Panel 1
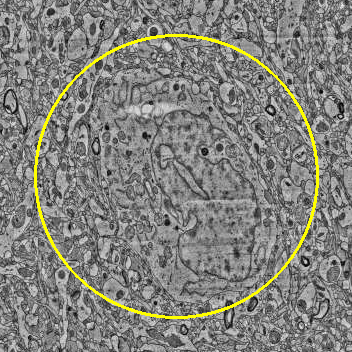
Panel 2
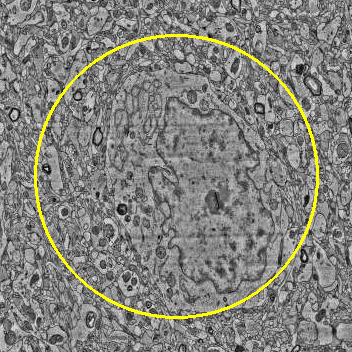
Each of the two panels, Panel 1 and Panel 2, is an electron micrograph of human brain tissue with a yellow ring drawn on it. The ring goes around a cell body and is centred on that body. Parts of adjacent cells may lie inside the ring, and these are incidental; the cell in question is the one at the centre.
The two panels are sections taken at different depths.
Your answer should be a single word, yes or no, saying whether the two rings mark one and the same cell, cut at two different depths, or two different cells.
yes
